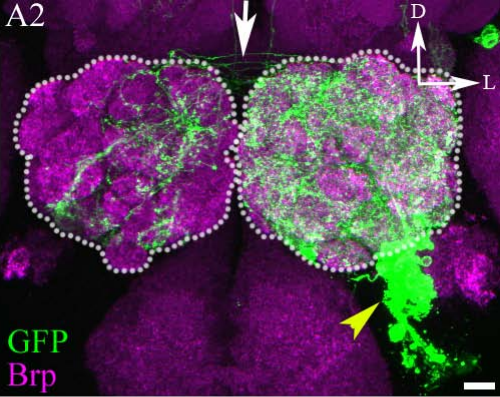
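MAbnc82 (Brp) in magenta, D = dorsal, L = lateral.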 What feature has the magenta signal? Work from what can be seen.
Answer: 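Antennal glomeruli. Magenta fills many rounded compartments packed inside each outlined region. The rounded compartments are separated by darker gaps.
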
